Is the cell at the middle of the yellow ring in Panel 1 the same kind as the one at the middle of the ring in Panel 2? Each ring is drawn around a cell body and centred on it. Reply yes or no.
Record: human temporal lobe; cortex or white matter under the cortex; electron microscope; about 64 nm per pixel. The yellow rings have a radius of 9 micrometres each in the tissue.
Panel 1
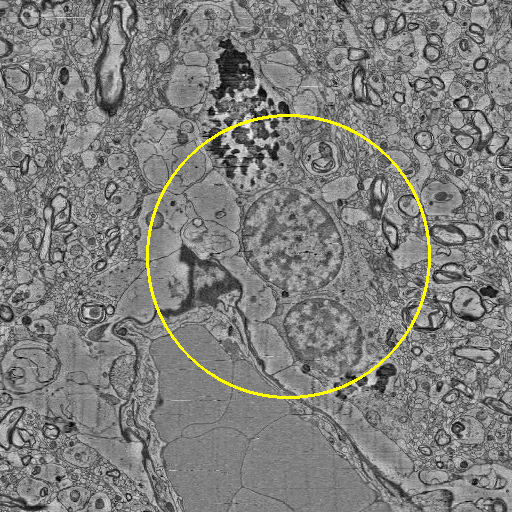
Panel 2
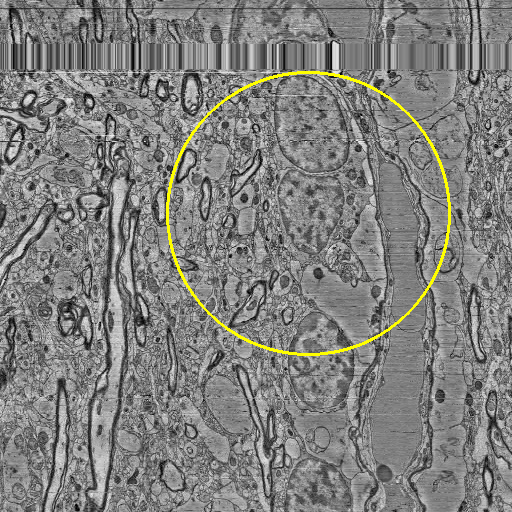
yes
